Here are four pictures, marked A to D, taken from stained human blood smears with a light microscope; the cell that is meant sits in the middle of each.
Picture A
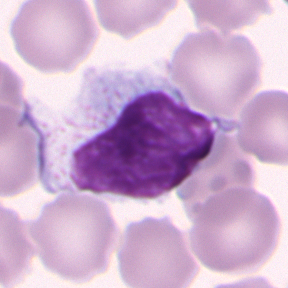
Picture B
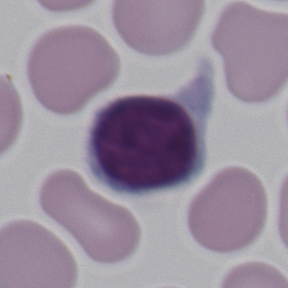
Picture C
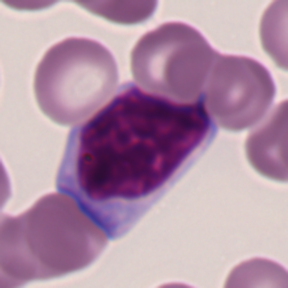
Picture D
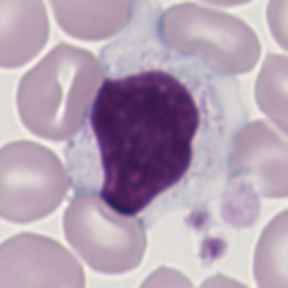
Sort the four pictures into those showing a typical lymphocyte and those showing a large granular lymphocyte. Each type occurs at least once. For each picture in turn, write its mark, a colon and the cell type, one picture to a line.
A: large granular lymphocyte
B: typical lymphocyte
C: typical lymphocyte
D: large granular lymphocyte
